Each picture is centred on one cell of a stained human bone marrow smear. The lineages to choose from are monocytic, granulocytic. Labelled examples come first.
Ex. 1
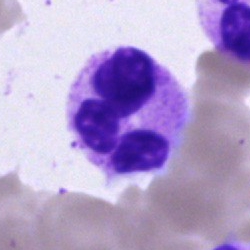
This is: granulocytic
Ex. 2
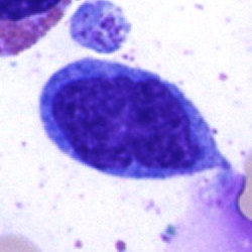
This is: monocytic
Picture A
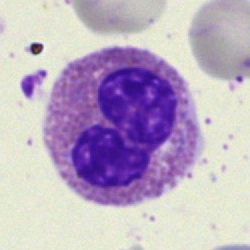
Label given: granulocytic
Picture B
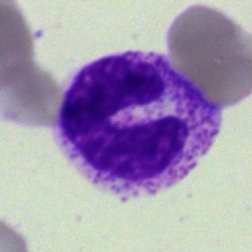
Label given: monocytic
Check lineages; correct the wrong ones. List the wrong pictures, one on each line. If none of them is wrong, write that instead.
B: not monocytic but granulocytic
